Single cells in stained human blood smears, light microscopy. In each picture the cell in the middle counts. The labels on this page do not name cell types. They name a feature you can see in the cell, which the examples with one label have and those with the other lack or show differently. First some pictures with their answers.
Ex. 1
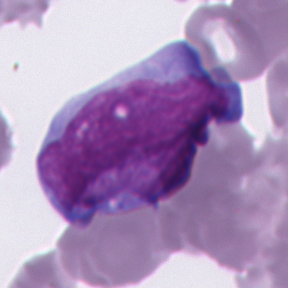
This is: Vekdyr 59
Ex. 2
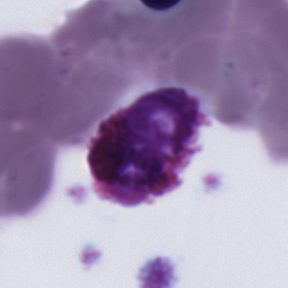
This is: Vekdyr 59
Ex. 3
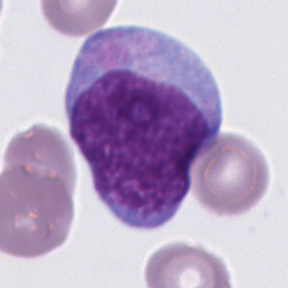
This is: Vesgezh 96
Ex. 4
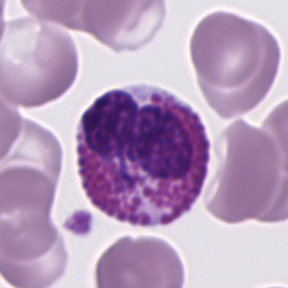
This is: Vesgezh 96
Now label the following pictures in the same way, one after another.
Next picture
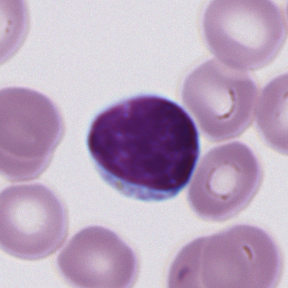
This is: Vesgezh 96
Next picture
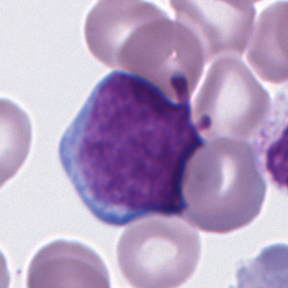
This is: Vekdyr 59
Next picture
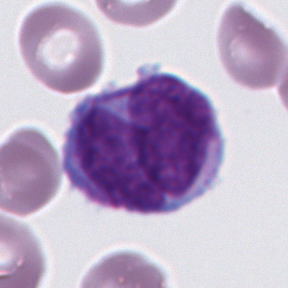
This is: Vekdyr 59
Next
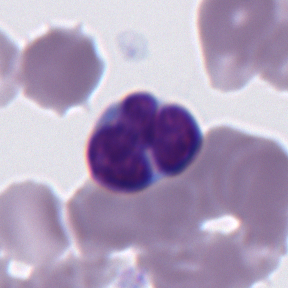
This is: Vesgezh 96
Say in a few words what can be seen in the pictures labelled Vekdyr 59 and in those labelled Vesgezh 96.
In Vekdyr 59: ragged outline or projections. In Vesgezh 96: smooth outline.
